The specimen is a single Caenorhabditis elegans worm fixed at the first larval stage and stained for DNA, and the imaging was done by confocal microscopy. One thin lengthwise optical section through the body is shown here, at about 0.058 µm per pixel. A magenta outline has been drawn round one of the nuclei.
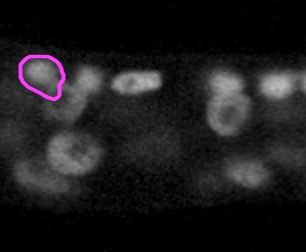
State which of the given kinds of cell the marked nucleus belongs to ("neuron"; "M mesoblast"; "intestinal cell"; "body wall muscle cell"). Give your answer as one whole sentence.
This is the nucleus of a neuron.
